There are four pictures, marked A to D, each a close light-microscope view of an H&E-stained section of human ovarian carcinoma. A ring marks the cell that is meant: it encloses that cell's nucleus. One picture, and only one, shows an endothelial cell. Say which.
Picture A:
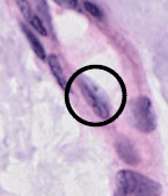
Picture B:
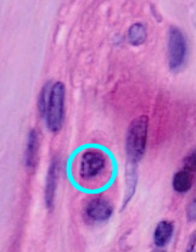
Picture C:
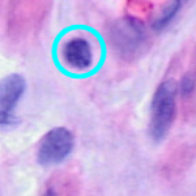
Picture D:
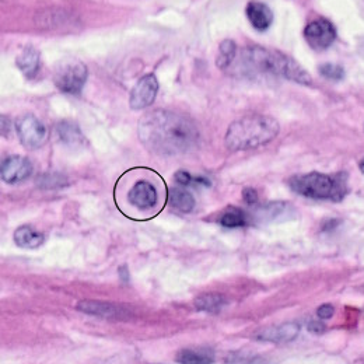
A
